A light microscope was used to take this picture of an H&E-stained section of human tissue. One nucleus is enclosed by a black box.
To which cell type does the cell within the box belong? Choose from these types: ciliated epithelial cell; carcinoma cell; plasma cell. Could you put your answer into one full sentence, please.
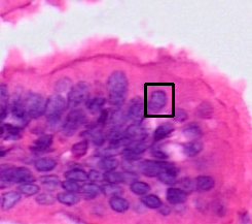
Students should answer that the cell within the box is a ciliated epithelial cell.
